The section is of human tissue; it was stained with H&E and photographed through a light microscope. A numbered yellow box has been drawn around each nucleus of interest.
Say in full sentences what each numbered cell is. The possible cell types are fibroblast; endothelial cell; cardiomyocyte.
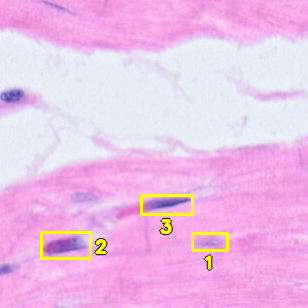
Cell 1 is a cardiomyocyte, cell 2 is an endothelial cell and cell 3 is an endothelial cell.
